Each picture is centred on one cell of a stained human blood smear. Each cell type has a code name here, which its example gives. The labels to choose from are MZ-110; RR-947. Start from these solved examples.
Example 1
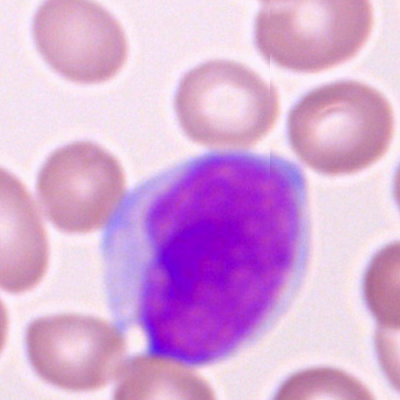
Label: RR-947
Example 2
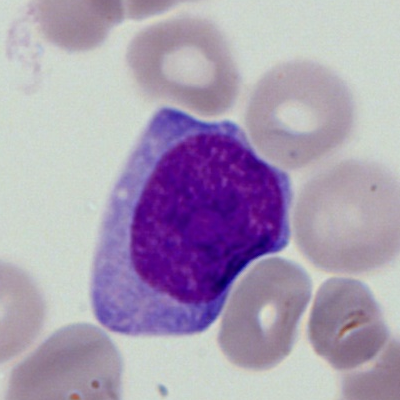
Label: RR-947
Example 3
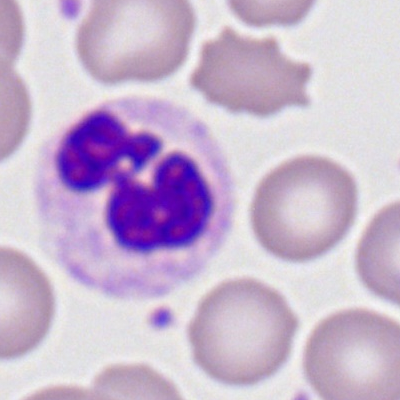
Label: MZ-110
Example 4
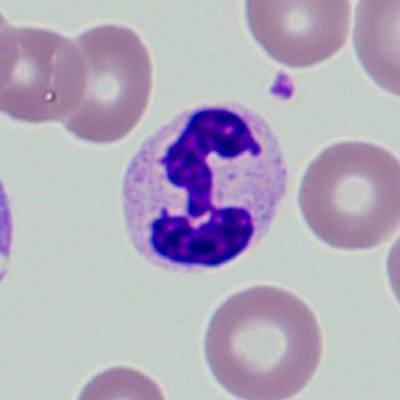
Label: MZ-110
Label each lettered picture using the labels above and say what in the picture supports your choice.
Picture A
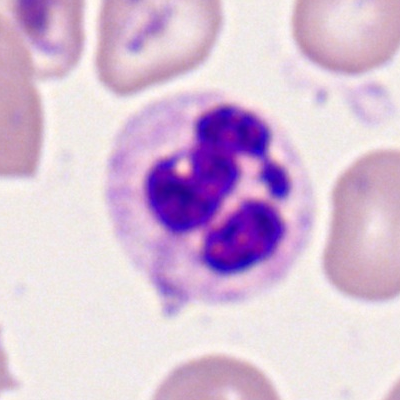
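MZ-110. Evidence: The nucleus is divided into several separate lobes.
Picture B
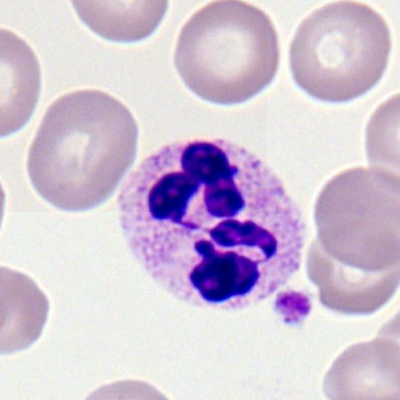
MZ-110. Evidence: The cytoplasm is plentiful and pale pinkish-lilac.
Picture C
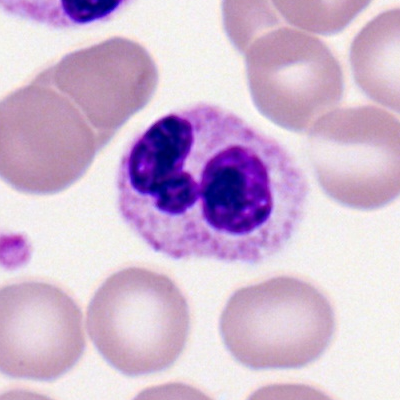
MZ-110. Evidence: The nucleus is divided into two lobes.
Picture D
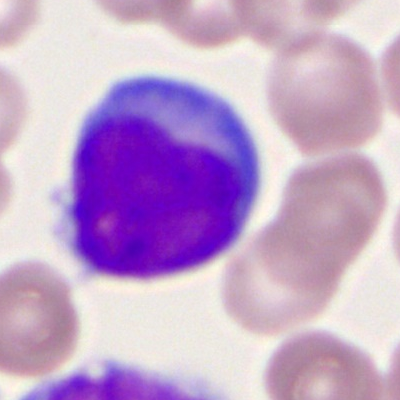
RR-947. Evidence: The nucleus fills most of the cell.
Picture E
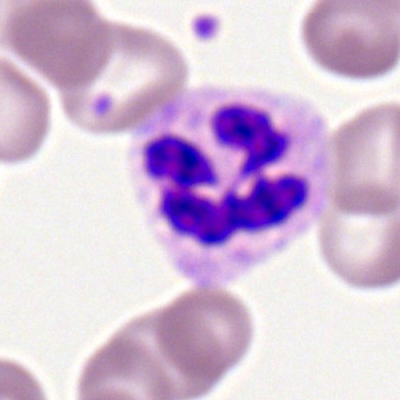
MZ-110. Evidence: The cytoplasm is plentiful and pale pinkish-lilac.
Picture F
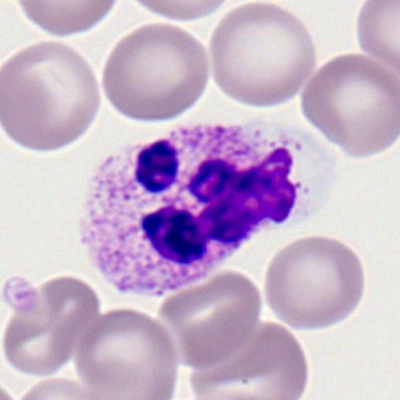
MZ-110. Evidence: The nucleus is split into at least three separate dark lobes.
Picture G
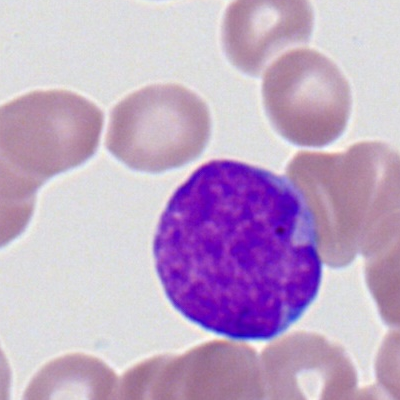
RR-947. Evidence: The cytoplasm is very scant.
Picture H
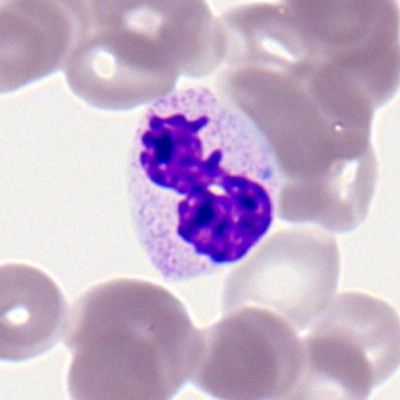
MZ-110. Evidence: The cytoplasm is abundant and pale pinkish-lilac.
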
